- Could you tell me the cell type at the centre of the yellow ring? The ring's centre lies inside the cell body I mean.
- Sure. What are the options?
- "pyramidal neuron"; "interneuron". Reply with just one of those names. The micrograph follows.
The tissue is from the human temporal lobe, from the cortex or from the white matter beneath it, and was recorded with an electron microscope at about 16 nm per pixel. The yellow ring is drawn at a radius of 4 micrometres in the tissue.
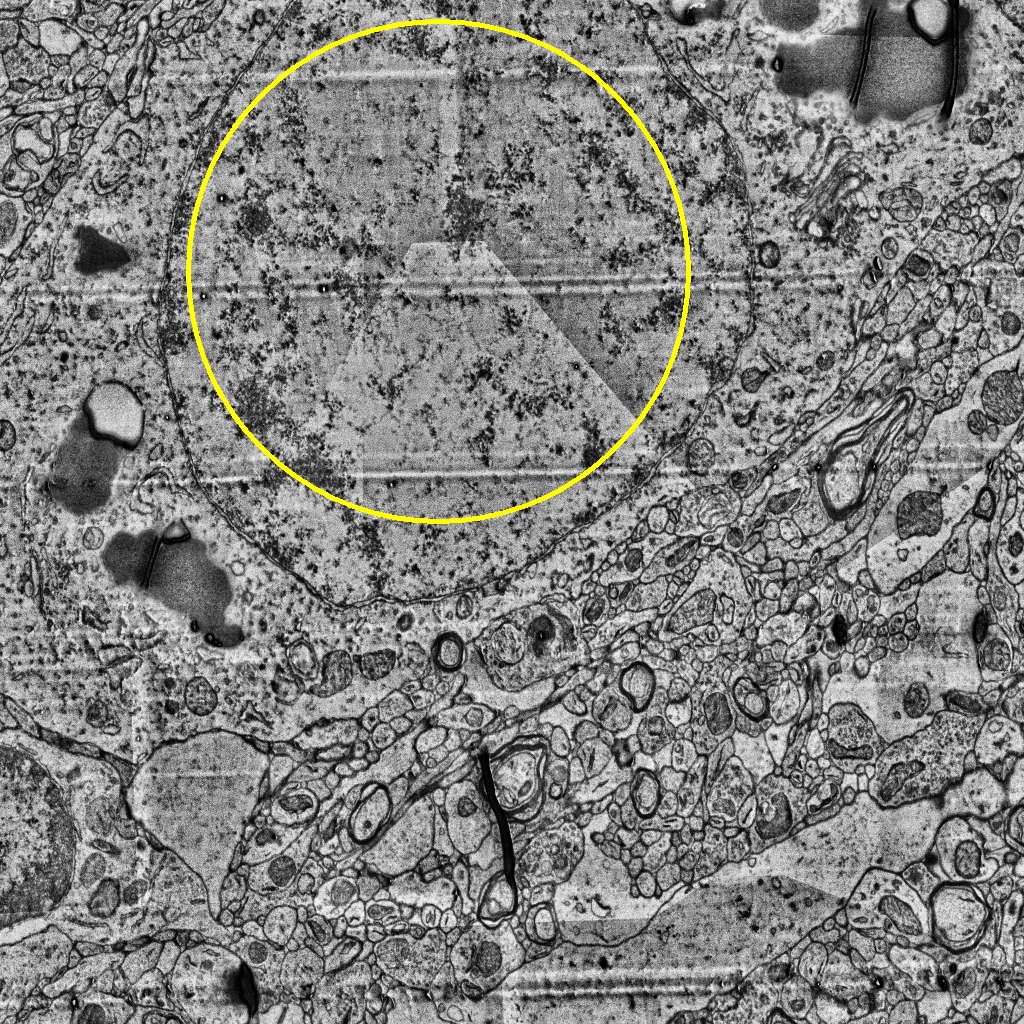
interneuron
